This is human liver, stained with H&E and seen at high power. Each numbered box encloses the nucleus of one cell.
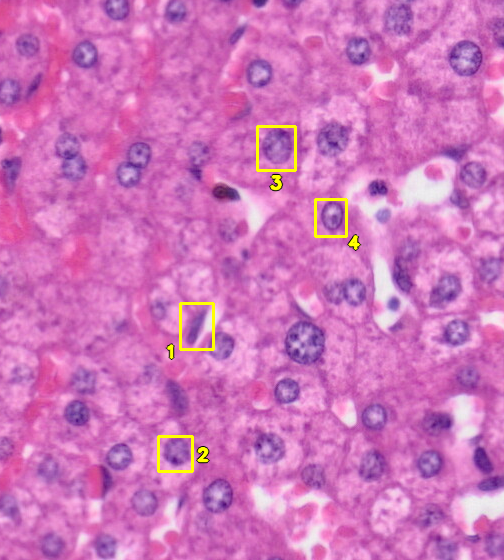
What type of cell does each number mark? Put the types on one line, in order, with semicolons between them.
Kupffer cell; hepatocyte; hepatocyte; hepatocyte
